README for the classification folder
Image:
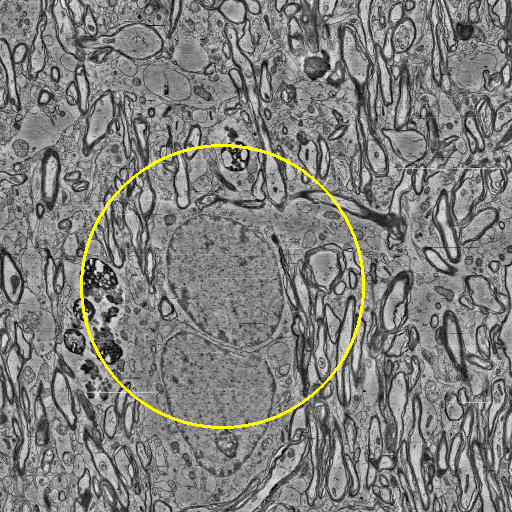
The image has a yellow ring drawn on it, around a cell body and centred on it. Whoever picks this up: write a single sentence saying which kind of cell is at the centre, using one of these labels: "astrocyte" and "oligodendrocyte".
This cell body is that of an astrocyte.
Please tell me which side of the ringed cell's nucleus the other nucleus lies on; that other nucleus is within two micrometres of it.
That other nucleus is below it.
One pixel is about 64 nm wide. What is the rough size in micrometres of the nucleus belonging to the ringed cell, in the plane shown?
Roughly 9 by 7 micrometres in this plane, for the nucleus of the ringed cell.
